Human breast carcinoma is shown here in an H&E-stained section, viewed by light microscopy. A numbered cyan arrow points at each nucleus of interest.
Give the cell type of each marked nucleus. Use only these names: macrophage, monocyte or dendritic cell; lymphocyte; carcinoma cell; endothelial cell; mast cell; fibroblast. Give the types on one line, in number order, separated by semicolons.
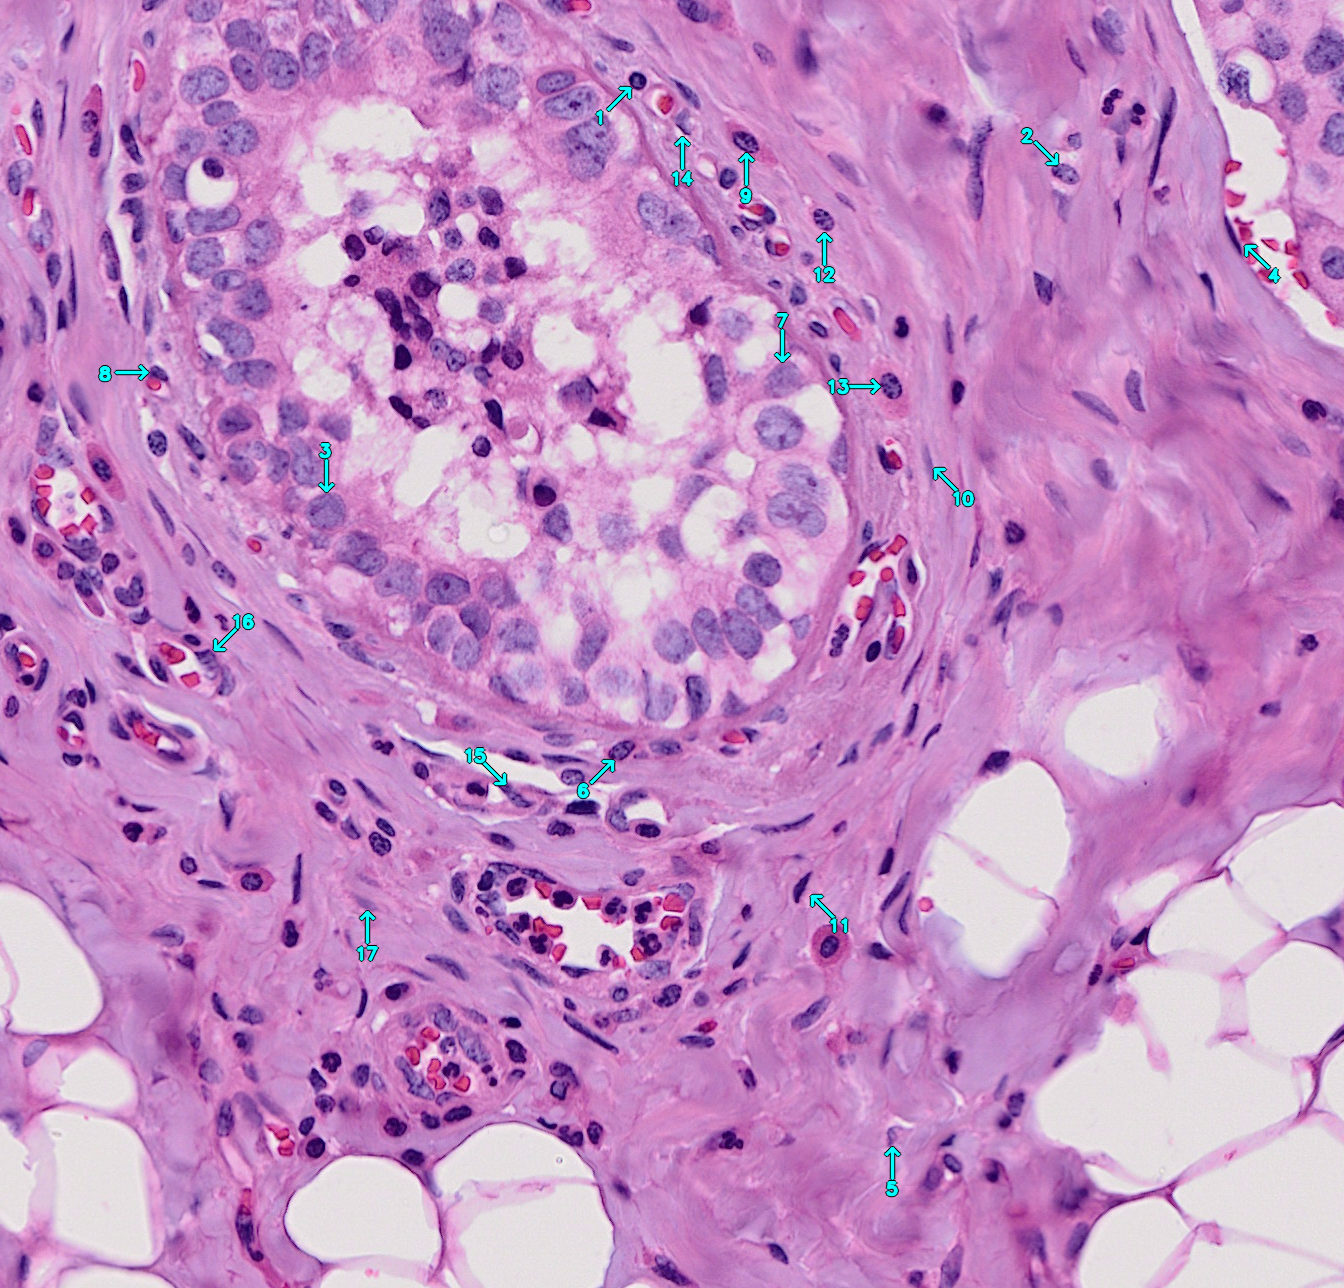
mast cell; mast cell; carcinoma cell; endothelial cell; fibroblast; mast cell; carcinoma cell; endothelial cell; mast cell; fibroblast; fibroblast; mast cell; mast cell; fibroblast; endothelial cell; endothelial cell; fibroblast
